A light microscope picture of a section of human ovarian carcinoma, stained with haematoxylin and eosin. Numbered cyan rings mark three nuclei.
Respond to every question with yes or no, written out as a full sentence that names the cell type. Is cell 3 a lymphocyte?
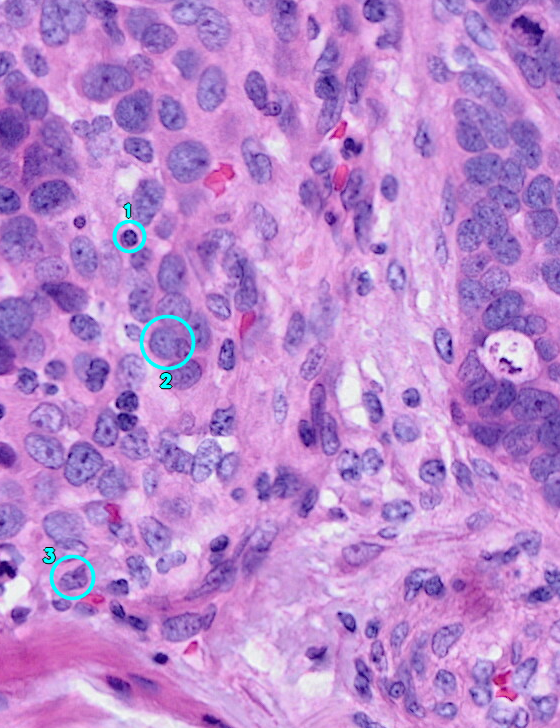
No, it's not a lymphocyte at number 3; that cell is an endothelial cell.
